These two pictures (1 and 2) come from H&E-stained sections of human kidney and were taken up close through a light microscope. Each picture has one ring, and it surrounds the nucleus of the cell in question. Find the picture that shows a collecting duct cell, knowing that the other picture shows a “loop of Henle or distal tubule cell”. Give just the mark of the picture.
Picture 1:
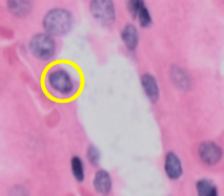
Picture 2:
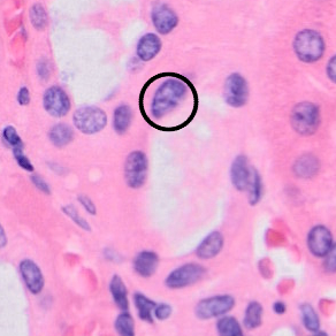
2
